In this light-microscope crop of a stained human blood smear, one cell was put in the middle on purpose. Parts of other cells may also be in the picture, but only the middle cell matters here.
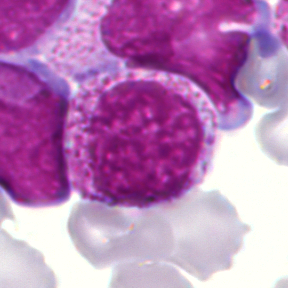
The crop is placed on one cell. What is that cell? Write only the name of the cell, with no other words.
myelocyte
